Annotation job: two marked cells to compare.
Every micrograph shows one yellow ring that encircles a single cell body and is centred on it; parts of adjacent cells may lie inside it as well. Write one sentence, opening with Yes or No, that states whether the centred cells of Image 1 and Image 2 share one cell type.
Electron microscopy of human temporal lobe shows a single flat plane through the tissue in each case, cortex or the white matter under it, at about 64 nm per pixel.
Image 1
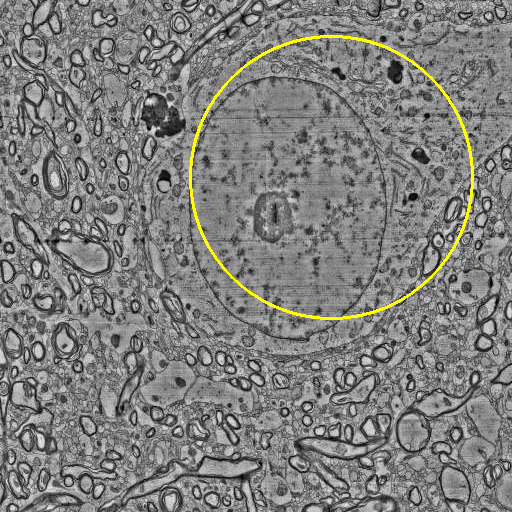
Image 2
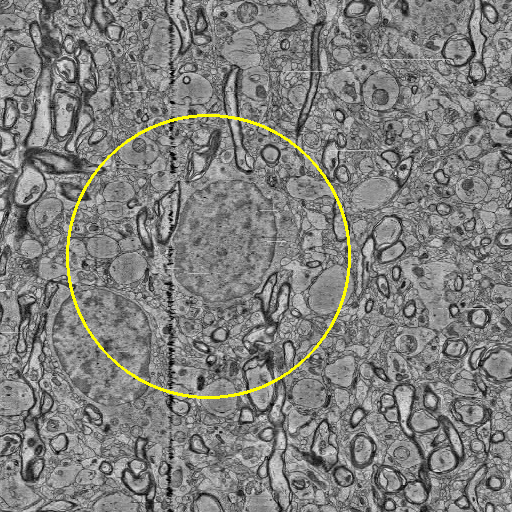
No, the cell centred in Image 1 and the cell centred in Image 2 are of two types.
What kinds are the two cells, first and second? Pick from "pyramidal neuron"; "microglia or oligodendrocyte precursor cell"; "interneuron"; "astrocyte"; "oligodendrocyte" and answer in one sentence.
The second picture holds an oligodendrocyte in its ring, and the first holds a pyramidal neuron.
